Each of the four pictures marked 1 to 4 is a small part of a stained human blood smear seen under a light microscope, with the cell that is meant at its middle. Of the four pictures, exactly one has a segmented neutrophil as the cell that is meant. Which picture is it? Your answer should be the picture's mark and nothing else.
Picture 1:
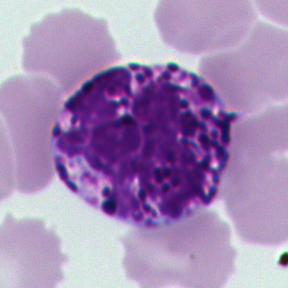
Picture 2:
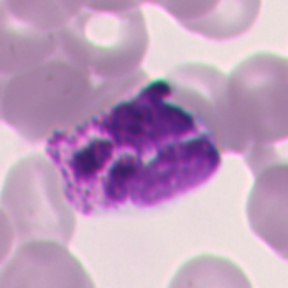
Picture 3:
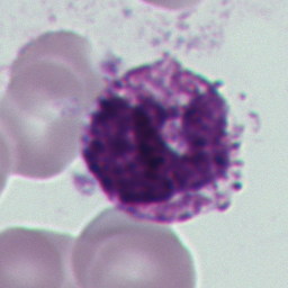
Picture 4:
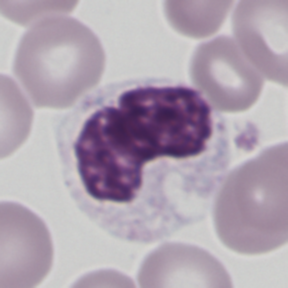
4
